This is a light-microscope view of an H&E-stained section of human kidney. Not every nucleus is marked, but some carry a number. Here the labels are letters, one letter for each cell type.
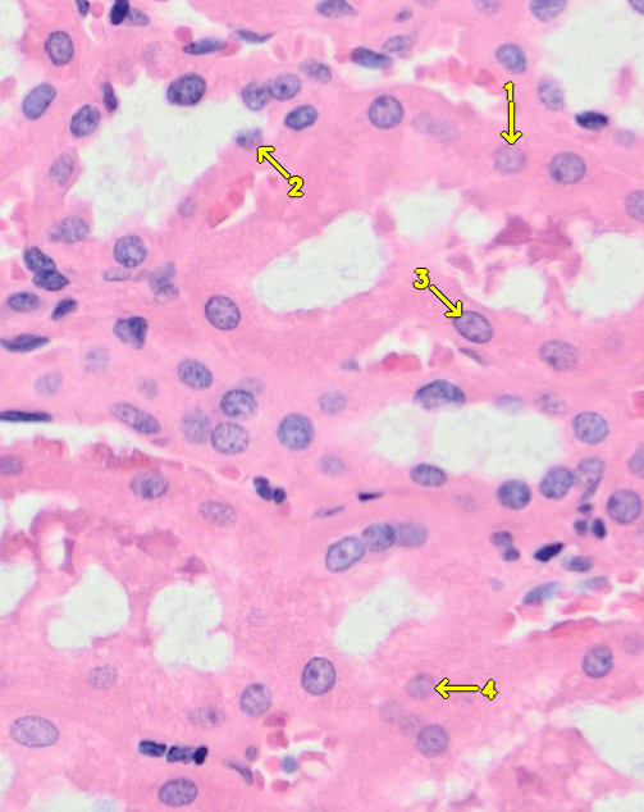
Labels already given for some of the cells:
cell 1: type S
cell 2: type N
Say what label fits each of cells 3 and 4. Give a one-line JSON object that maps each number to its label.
{"3": "type S", "4": "type S"}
